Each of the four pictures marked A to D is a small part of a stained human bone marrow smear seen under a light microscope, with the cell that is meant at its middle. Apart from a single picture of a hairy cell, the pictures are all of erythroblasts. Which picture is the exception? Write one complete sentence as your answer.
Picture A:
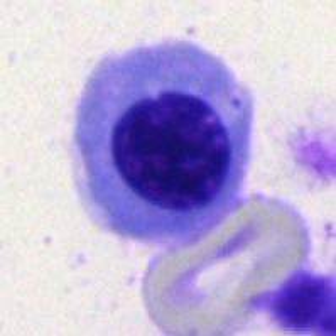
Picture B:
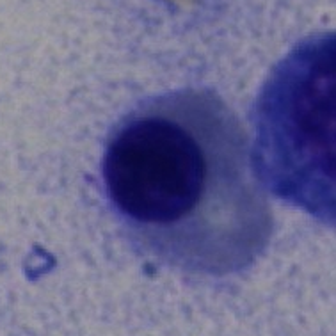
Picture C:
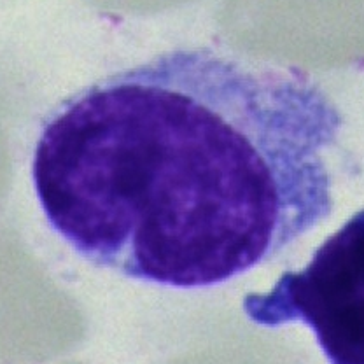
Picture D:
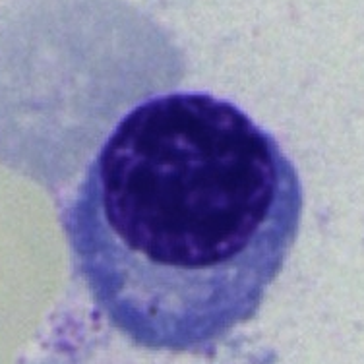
The cell in picture C is the hairy cell.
